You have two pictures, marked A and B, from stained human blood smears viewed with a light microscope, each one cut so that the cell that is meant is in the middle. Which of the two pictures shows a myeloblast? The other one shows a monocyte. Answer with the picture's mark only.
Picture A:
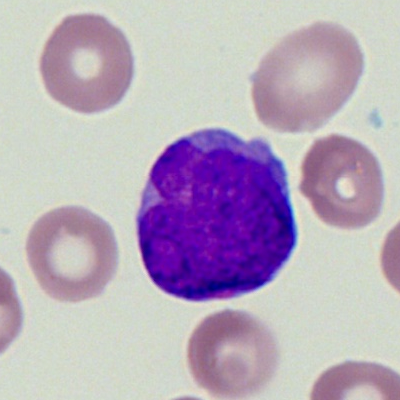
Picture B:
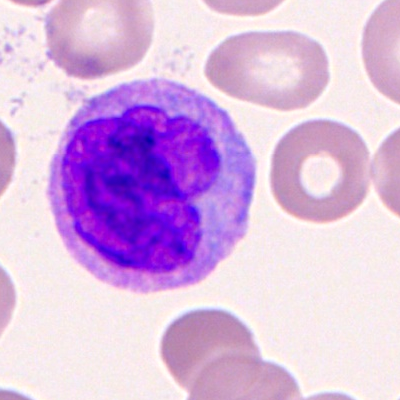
A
